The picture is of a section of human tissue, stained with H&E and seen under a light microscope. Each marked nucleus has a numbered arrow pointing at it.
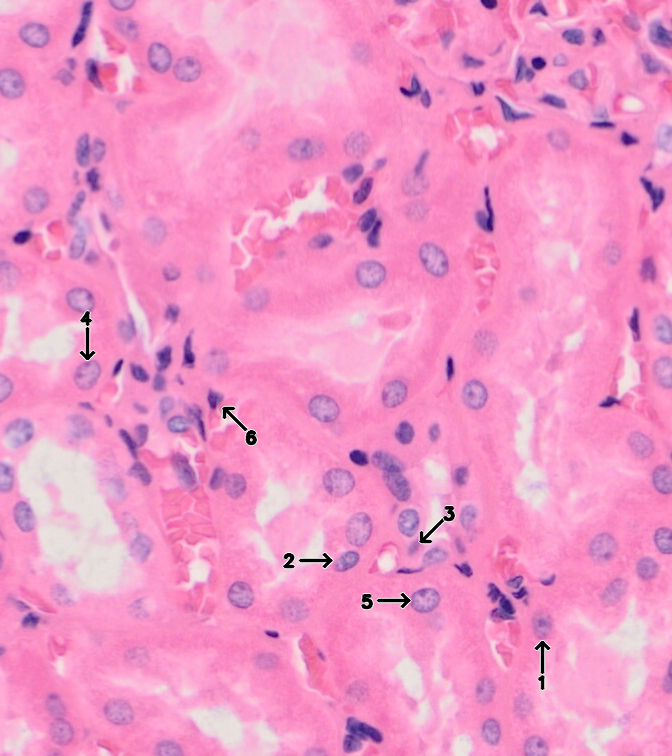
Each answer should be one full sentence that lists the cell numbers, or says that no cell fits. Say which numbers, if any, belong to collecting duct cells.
Cell 3 is the single numbered cell that is a collecting duct cell.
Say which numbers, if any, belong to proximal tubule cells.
The numbers 1, 2, 4 and 5 in this section indicate proximal tubule cells.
